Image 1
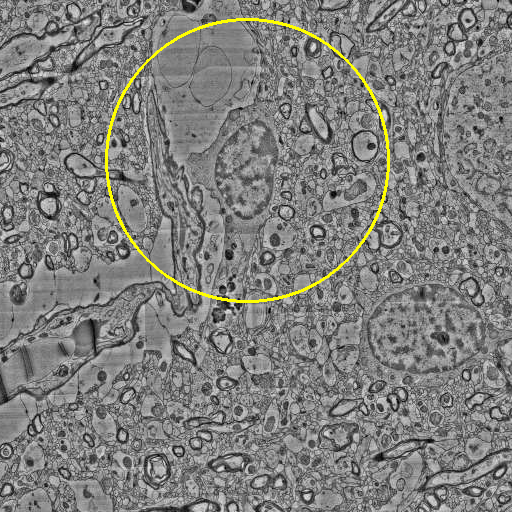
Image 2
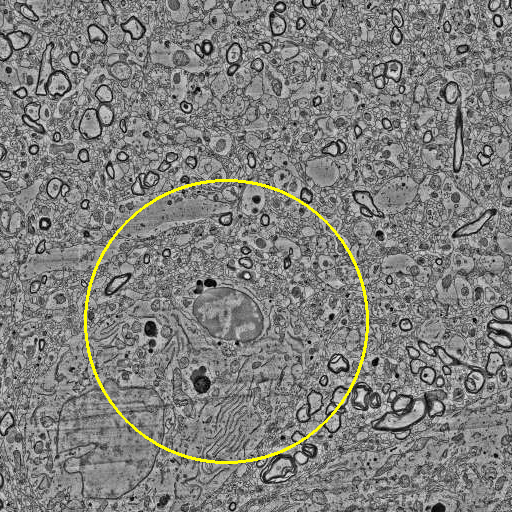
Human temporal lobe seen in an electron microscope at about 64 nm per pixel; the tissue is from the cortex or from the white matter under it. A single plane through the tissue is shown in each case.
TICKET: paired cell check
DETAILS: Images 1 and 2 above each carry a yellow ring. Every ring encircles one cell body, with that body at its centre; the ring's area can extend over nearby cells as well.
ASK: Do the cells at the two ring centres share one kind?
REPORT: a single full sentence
No, the ring-centre cells of Images 1 and 2 belong to two kinds.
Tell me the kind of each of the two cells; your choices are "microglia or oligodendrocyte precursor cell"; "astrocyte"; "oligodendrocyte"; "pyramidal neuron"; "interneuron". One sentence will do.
The ringed cell is an oligodendrocyte in the first picture and a microglial cell or oligodendrocyte precursor cell in the second picture.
